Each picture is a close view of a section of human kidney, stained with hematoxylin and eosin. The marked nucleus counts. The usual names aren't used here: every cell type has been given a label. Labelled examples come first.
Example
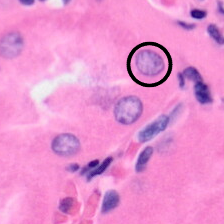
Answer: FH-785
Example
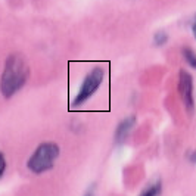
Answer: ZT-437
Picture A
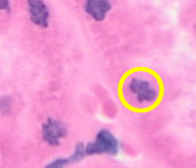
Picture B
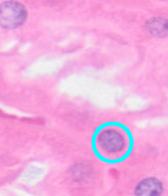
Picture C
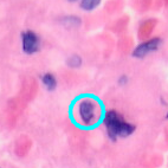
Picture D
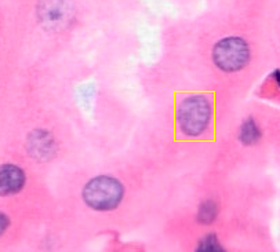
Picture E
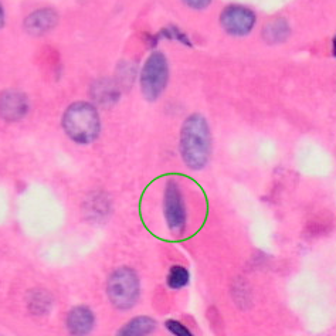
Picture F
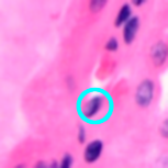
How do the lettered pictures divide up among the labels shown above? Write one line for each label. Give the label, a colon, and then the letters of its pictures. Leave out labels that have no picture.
FH-785: A, B, D
ZT-437: C, E, F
